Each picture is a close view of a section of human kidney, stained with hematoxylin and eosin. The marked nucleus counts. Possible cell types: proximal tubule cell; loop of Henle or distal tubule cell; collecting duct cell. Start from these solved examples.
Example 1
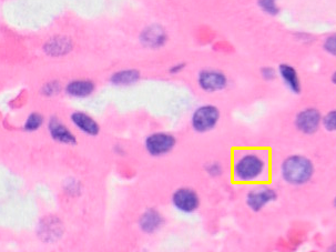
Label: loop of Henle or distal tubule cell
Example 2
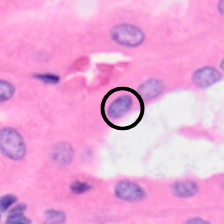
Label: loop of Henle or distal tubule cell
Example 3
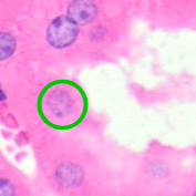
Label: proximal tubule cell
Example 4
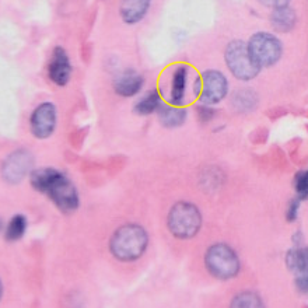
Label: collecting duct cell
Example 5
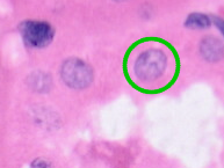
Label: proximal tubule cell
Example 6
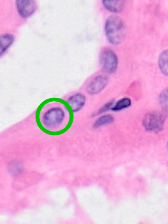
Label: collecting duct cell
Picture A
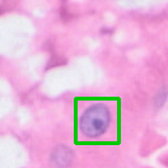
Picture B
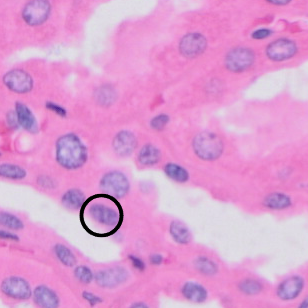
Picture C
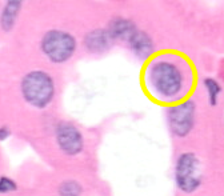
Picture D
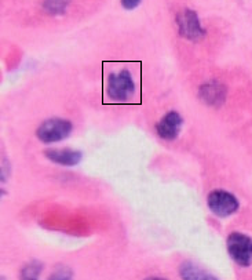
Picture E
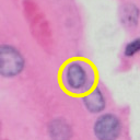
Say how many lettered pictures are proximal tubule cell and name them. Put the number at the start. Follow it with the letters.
1, namely A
